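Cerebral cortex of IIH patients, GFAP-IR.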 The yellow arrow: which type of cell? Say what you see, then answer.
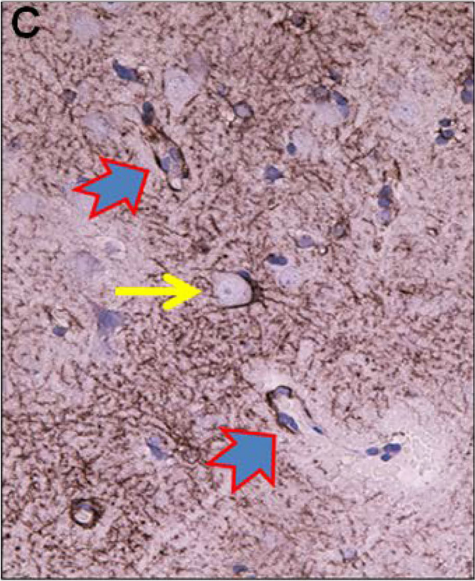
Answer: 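A large rounded pale cell body in the center. Brown-stained profiles hugging part of its outline.
Large nerve cell.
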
